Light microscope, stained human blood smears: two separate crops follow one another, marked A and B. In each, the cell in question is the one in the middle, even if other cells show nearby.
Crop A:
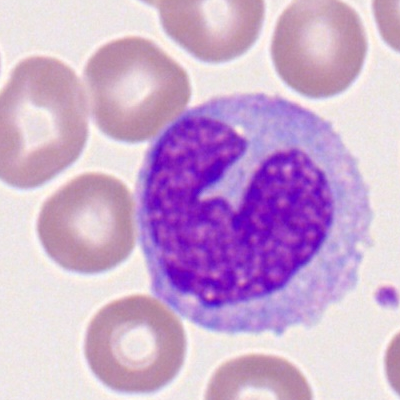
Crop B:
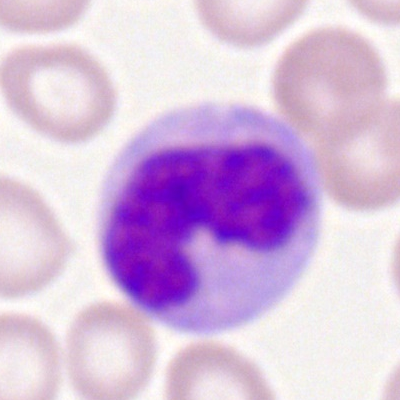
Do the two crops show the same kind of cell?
yes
